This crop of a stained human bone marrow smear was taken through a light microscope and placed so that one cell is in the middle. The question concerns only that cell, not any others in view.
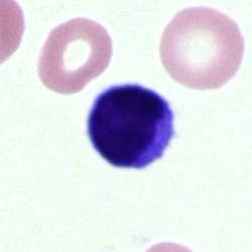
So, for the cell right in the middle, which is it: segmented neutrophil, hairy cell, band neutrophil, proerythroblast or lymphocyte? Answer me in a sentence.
Seen at the centre of the crop is a lymphocyte.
